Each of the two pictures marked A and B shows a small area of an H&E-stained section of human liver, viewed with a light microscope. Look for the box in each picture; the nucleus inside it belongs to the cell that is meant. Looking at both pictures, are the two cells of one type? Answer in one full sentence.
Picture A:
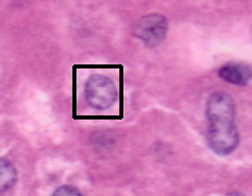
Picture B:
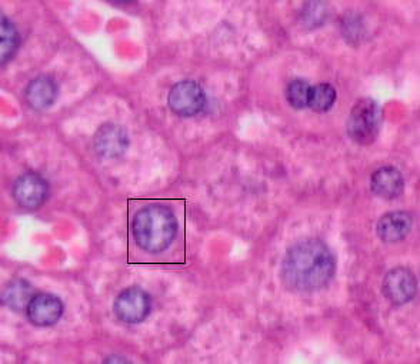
Yes, both cells are hepatocytes.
